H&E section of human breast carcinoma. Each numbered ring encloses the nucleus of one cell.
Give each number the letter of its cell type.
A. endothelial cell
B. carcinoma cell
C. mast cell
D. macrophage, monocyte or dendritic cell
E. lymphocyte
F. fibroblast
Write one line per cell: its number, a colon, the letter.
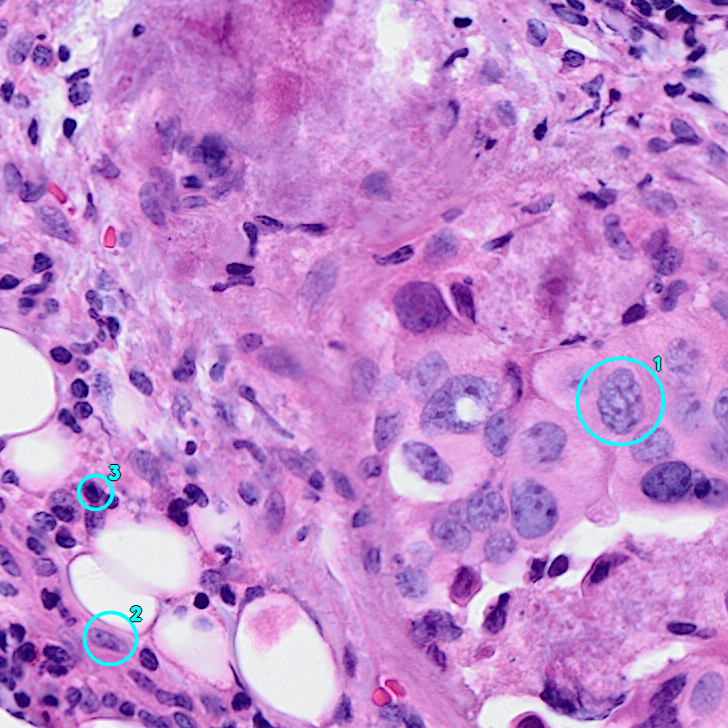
1: B
2: A
3: E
